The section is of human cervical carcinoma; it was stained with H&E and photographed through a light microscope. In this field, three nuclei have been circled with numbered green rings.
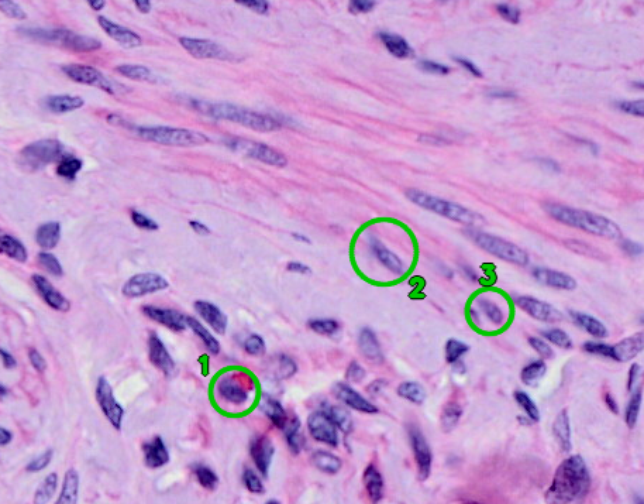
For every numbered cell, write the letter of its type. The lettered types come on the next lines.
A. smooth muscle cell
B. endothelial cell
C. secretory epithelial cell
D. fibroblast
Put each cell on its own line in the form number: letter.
1: B
2: A
3: A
